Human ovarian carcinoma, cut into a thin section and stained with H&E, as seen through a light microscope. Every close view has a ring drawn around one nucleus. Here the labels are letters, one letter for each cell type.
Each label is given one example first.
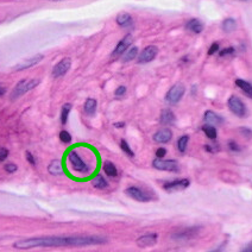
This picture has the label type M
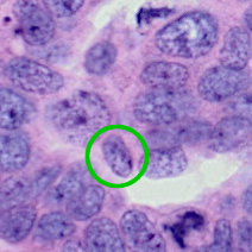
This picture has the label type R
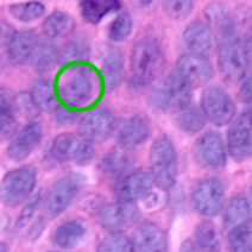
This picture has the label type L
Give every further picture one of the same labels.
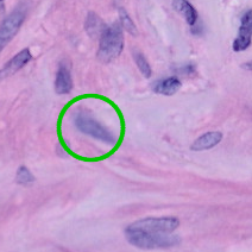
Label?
type M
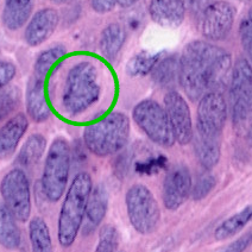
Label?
type L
